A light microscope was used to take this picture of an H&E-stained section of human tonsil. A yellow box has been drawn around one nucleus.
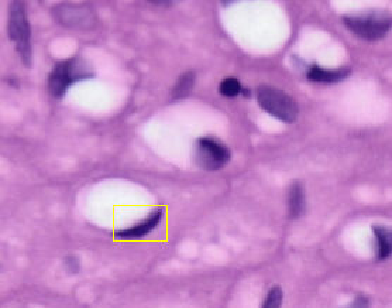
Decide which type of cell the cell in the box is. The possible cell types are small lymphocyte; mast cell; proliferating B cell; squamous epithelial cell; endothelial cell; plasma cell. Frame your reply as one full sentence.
In this tissue sample, the cell in the box is a squamous epithelial cell.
